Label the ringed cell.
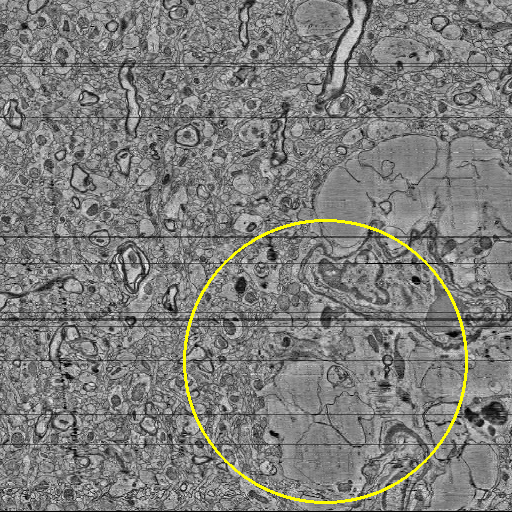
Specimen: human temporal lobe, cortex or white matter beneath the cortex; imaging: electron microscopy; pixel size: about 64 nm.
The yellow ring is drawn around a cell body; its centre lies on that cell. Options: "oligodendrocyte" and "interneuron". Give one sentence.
The ringed cell is an oligodendrocyte.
